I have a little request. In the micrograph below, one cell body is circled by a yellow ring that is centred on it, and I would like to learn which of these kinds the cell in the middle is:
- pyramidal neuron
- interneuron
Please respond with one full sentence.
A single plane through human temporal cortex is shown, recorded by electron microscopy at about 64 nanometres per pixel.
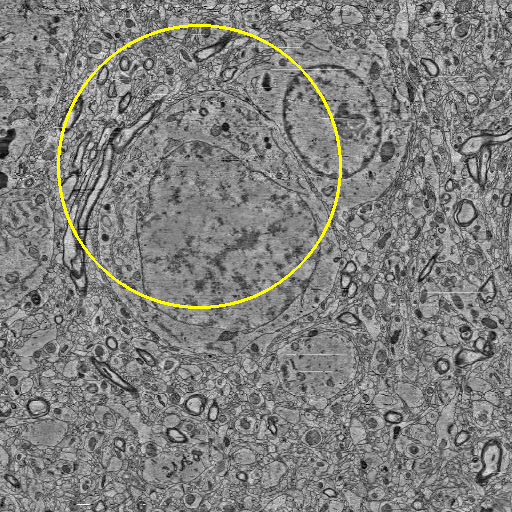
The cell sitting in the middle of the yellow ring in the micrograph is a pyramidal neuron.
